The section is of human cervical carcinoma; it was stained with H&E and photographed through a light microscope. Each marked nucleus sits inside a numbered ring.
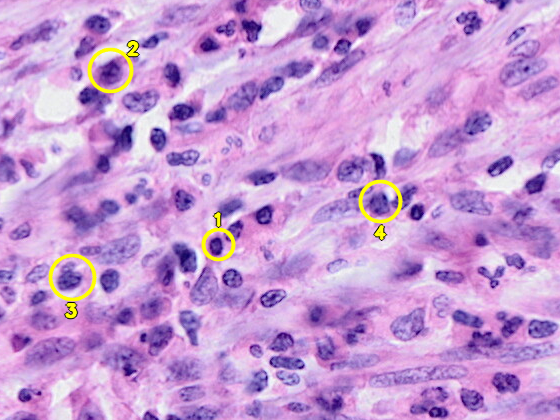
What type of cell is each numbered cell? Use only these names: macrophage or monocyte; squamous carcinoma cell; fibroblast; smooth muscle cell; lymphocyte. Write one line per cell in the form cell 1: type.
cell 1: lymphocyte
cell 2: macrophage or monocyte
cell 3: lymphocyte
cell 4: lymphocyte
